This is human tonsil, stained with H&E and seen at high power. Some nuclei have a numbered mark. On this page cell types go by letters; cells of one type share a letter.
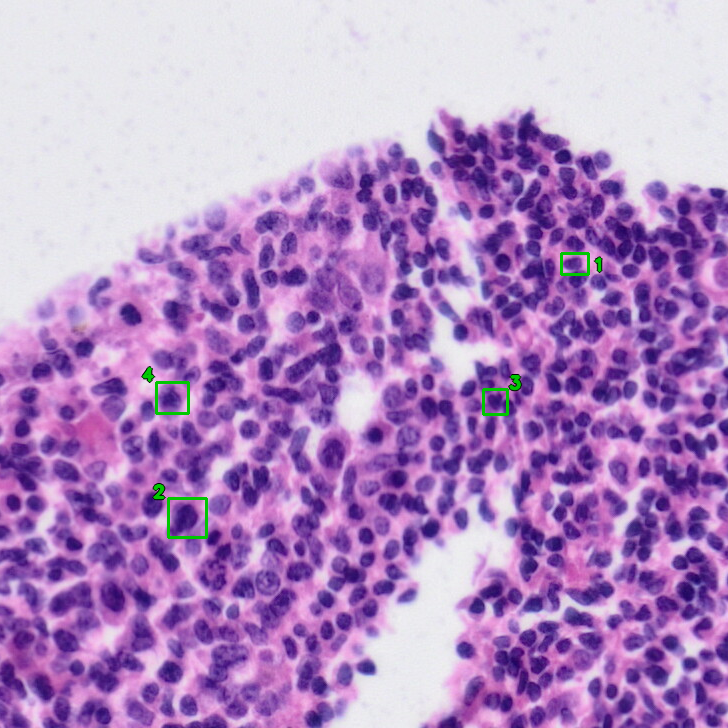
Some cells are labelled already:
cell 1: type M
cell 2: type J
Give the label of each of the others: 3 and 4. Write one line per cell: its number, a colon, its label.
3: type M
4: type J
